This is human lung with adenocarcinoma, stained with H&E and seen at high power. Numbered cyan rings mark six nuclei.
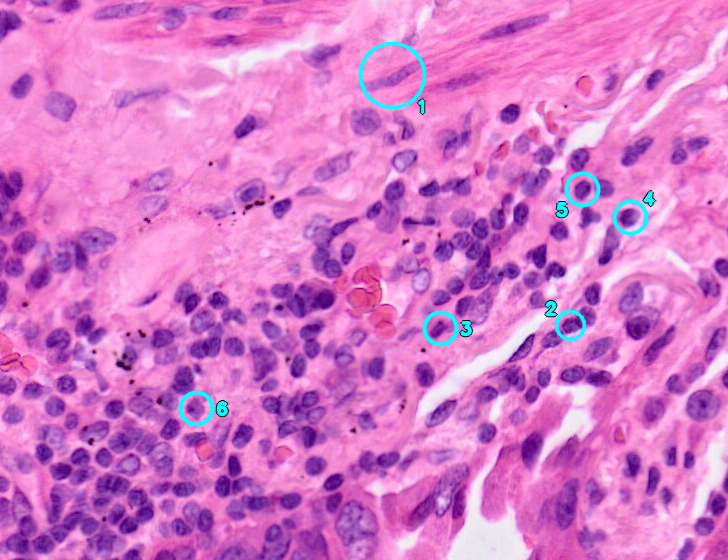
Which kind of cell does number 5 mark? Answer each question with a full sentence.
Cell 5, as marked in the section, is a lymphocyte.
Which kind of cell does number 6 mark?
The cell tagged with 6 in this tissue section is a lymphocyte.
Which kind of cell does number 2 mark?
To a lymphocyte belongs the nucleus marked 2.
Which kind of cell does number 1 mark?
Denoted by the label 1 in the section is a smooth muscle cell or pericyte.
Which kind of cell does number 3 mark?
The label 3 in this section denotes a plasma cell.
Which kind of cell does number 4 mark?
The cell that bears the number 4 is a lymphocyte.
